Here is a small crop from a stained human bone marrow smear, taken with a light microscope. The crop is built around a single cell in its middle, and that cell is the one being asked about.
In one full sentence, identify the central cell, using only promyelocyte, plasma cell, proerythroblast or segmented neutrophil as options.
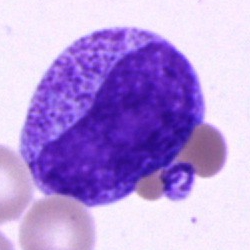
The cell the crop is centered on is a promyelocyte.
